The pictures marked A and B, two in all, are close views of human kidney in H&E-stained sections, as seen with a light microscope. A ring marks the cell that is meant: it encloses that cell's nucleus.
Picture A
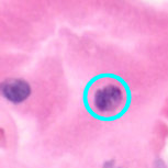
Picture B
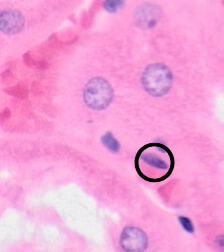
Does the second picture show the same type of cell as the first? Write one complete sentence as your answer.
No; the cell in picture A is a proximal tubule cell, while the one in picture B is an endothelial cell.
